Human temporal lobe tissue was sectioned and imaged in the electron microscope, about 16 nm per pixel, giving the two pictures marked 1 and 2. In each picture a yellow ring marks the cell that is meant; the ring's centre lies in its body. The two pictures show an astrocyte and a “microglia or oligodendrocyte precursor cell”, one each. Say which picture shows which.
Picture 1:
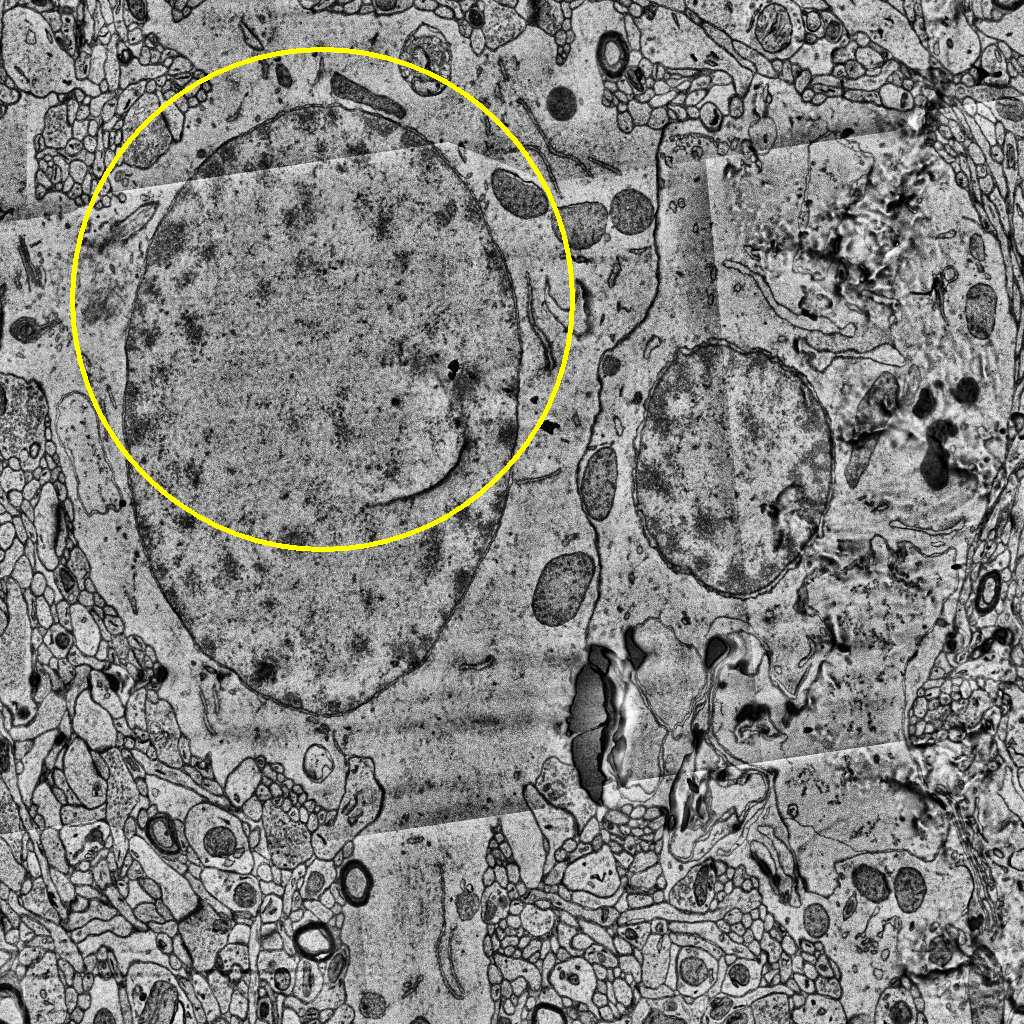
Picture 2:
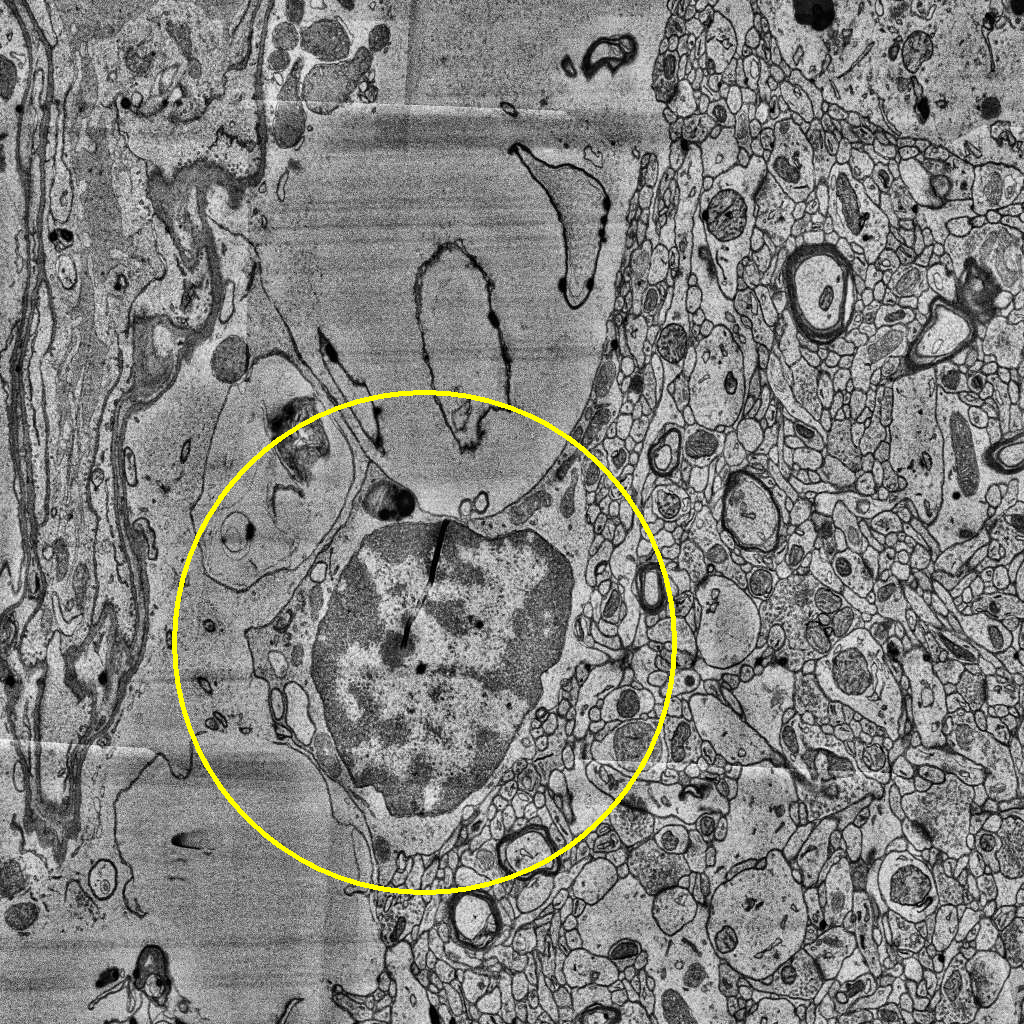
The cell in picture 1 is an astrocyte, and the one in picture 2 is a “microglia or oligodendrocyte precursor cell”.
